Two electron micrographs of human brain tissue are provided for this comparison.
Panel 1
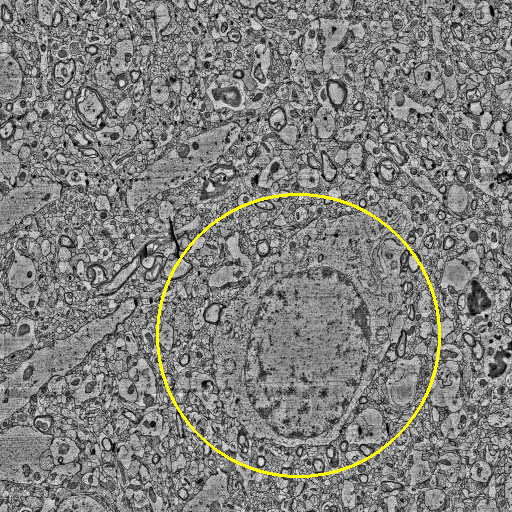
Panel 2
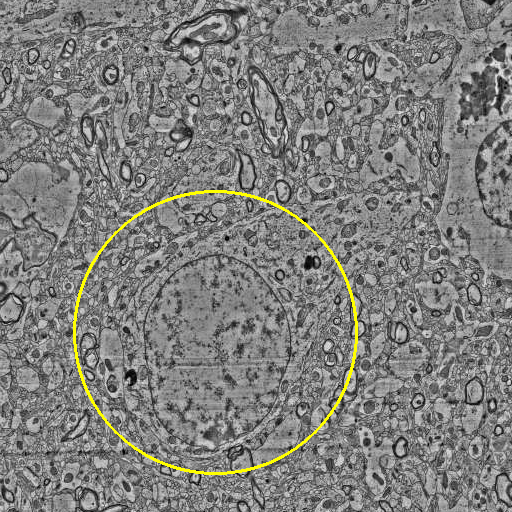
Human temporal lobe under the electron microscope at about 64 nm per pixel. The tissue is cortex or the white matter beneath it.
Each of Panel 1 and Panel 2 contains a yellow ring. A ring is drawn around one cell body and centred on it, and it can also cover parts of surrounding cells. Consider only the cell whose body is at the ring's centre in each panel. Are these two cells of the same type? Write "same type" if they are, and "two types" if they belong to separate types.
two types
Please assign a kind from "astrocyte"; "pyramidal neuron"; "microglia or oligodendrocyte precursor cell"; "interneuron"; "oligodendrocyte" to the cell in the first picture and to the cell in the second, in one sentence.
In the first picture we have an interneuron, and in the second, a pyramidal neuron.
